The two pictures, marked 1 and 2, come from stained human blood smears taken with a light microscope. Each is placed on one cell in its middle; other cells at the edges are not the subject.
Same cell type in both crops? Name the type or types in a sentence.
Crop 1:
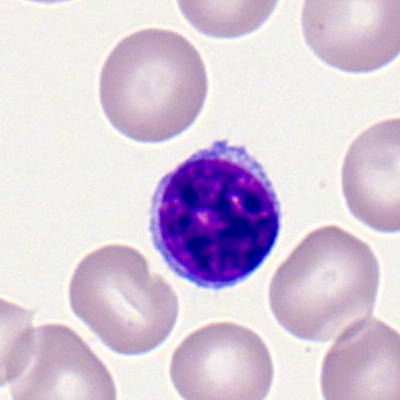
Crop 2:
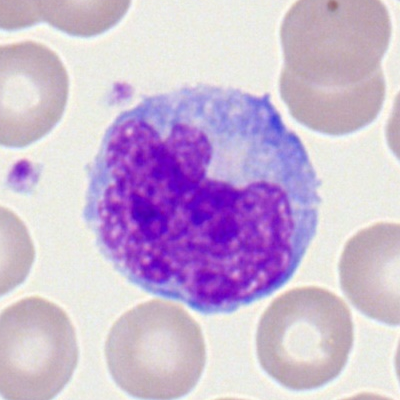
No, crop 1 is home to a lymphocyte, and crop 2 to a monocyte.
